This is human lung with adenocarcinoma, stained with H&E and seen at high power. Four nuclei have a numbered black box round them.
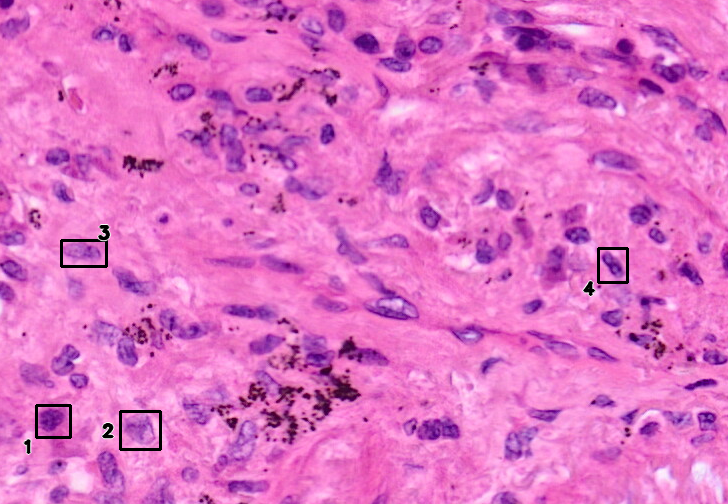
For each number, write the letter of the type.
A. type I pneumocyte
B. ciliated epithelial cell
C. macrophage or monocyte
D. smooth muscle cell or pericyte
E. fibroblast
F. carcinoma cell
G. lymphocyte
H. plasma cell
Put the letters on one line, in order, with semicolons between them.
H; E; E; G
